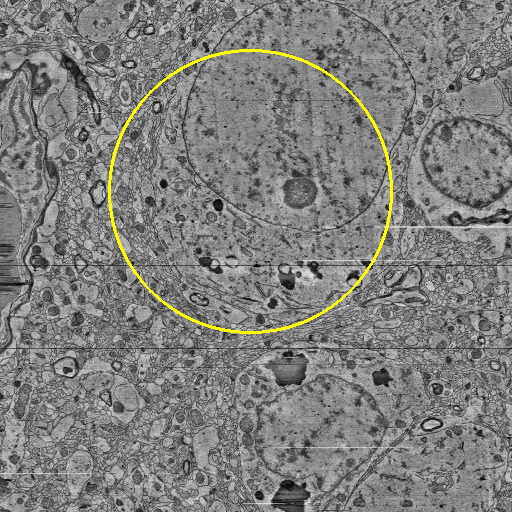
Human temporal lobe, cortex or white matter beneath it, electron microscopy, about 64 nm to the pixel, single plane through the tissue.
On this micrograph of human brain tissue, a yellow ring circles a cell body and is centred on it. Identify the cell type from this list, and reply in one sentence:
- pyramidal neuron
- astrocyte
The cell at the centre is a pyramidal neuron.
